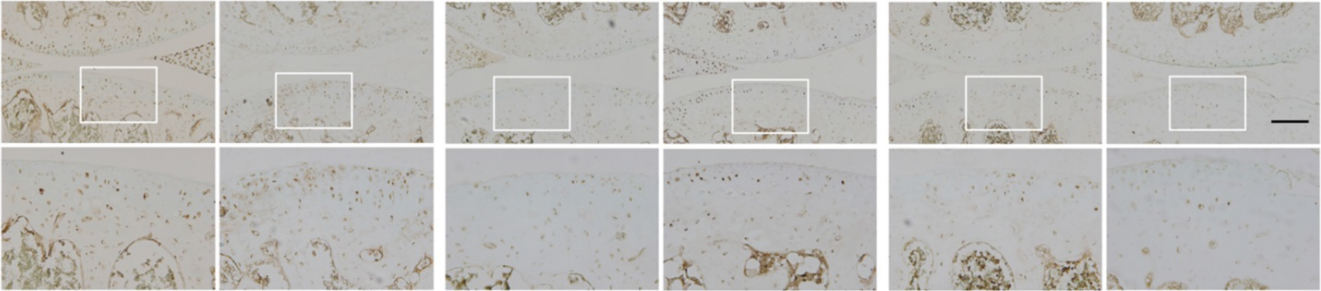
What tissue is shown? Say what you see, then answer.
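Smooth-surfaced pale layers face each other across a narrow joint space. Small cells sit in lacunae scattered through a pale, homogeneous matrix. Bone with marrow spaces lies beneath the pale layer.
Conclusion: articular cartilage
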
